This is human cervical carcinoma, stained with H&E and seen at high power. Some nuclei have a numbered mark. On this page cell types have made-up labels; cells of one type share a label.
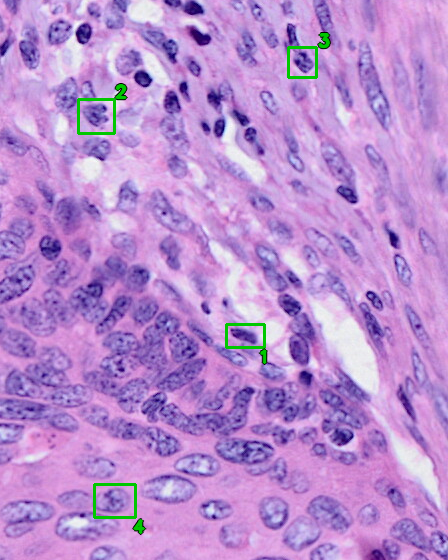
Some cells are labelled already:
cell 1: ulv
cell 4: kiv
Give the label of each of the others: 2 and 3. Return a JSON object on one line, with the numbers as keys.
{"2": "ulv", "3": "ulv"}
